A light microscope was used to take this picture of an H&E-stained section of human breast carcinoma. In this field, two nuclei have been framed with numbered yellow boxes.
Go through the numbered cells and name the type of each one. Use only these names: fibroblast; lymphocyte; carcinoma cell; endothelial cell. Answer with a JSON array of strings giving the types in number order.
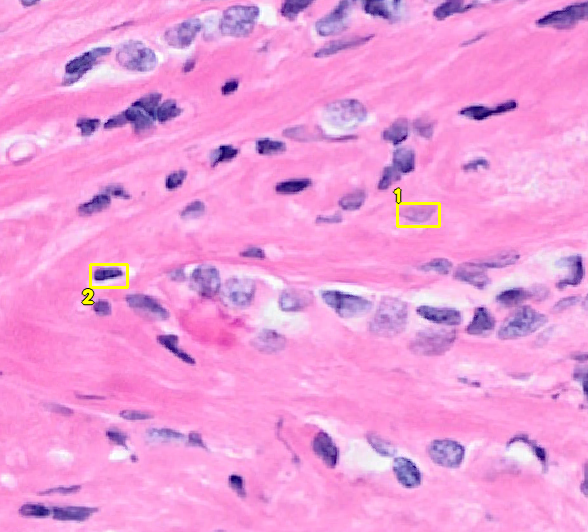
["fibroblast", "lymphocyte"]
